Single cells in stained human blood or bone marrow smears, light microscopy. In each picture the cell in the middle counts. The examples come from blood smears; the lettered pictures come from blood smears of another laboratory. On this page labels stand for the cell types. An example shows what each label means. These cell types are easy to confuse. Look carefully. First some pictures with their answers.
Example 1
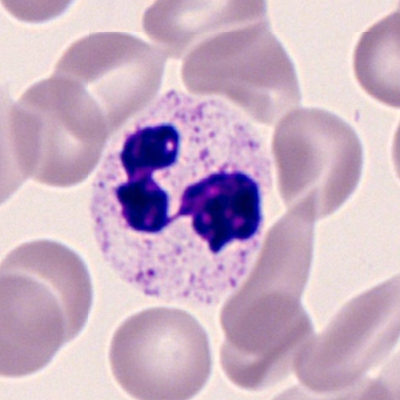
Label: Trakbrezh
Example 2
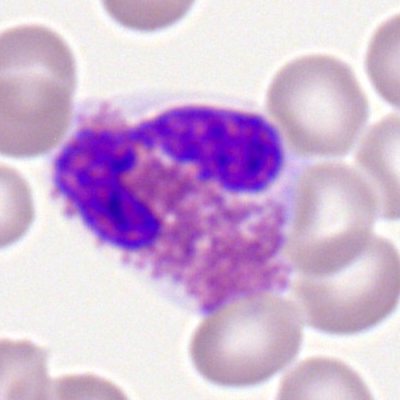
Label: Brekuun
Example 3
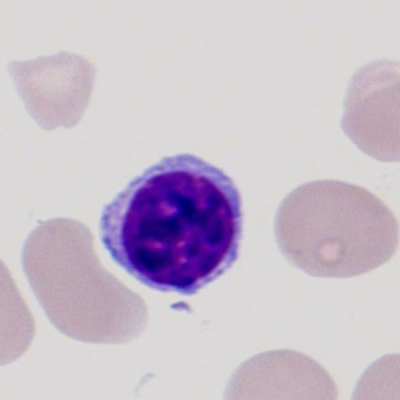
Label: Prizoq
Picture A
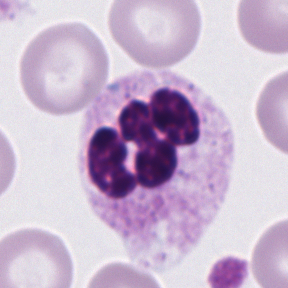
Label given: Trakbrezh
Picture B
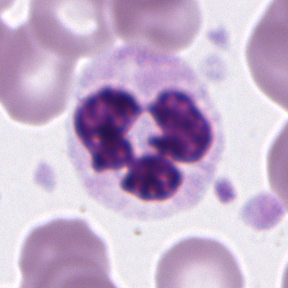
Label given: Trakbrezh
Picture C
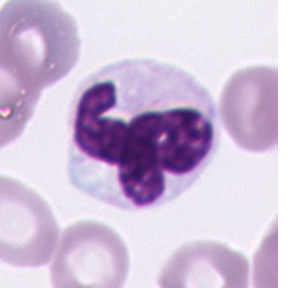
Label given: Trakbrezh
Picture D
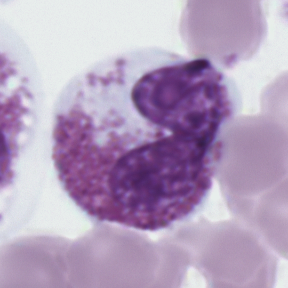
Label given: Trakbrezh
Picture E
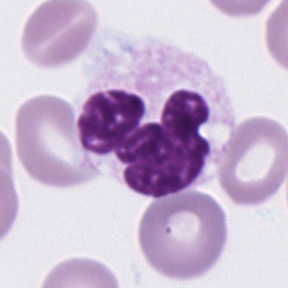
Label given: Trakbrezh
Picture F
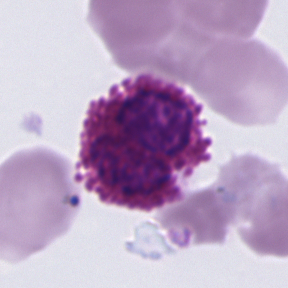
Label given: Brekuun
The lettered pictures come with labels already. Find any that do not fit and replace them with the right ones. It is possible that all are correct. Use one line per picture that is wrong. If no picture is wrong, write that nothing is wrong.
D: Brekuun, not Trakbrezh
